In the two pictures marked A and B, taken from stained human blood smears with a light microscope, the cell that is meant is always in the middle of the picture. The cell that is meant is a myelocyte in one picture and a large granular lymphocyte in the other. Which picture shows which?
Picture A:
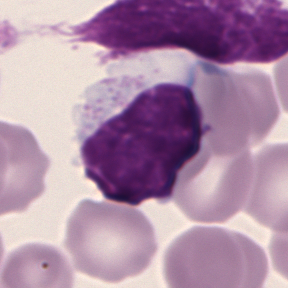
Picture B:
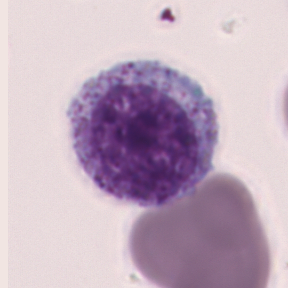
A: large granular lymphocyte
B: myelocyte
